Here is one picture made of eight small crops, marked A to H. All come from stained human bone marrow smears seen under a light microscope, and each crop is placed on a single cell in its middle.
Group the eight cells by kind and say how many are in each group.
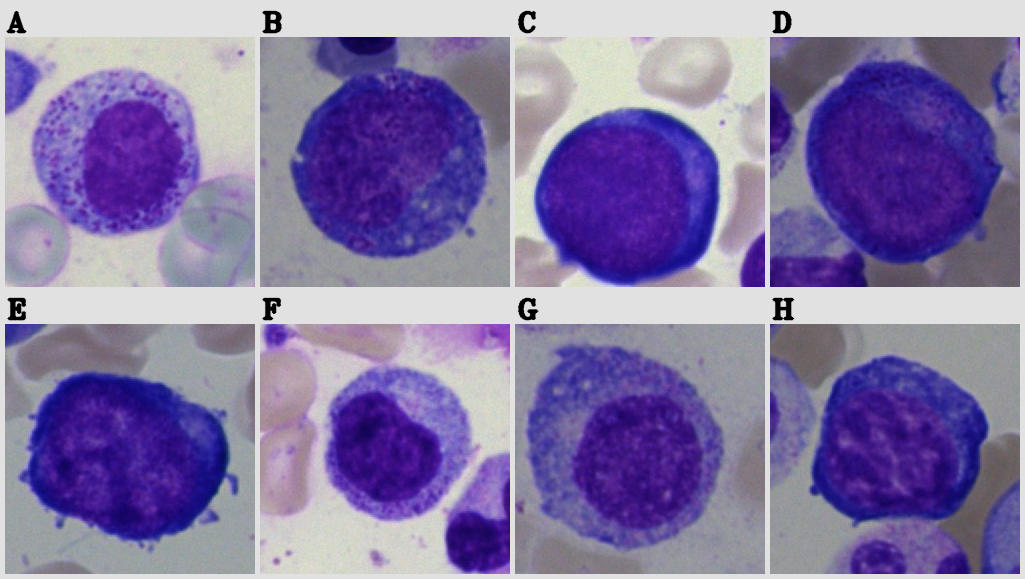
proerythroblast: 5
myelocyte: 2
promyelocyte: 1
